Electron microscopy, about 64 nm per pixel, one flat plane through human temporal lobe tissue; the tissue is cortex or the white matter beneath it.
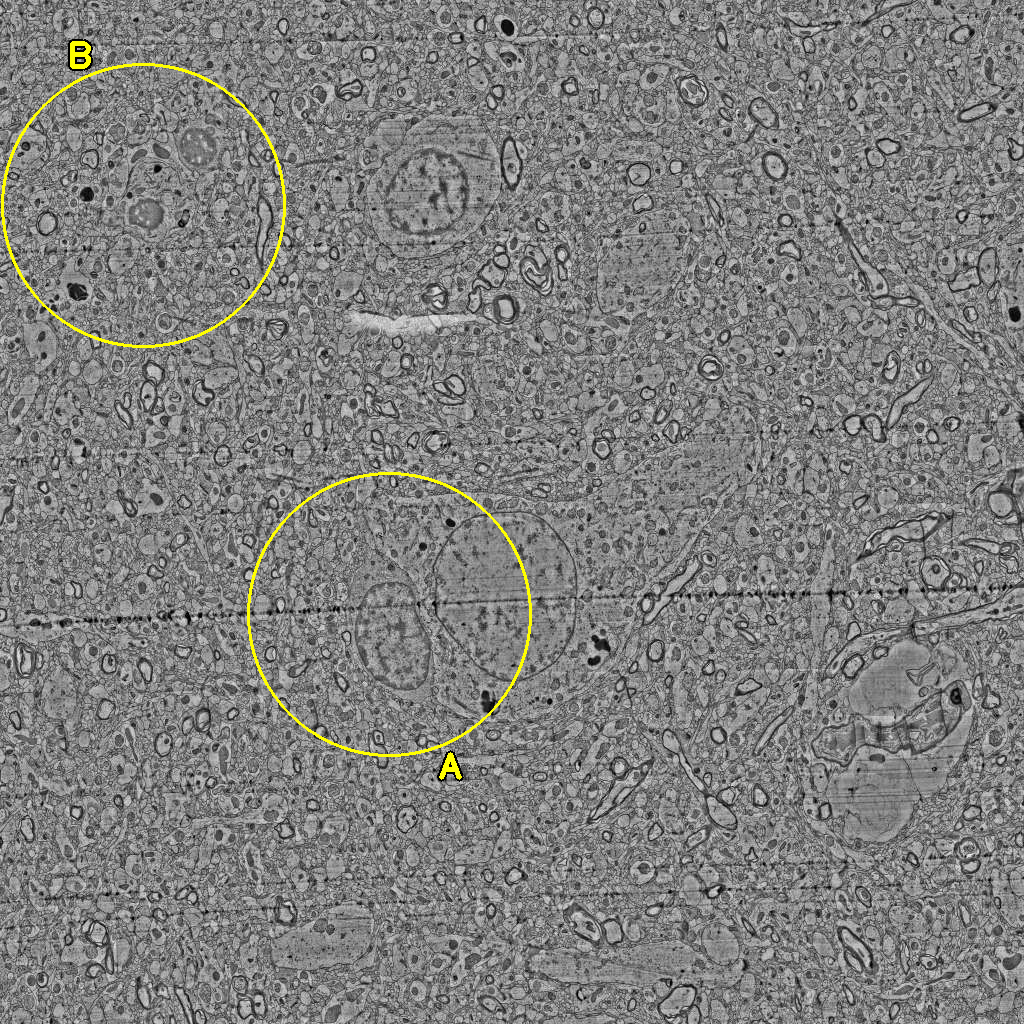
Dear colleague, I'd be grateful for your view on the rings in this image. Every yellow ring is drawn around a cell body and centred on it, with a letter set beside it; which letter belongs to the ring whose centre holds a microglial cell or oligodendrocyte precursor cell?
B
